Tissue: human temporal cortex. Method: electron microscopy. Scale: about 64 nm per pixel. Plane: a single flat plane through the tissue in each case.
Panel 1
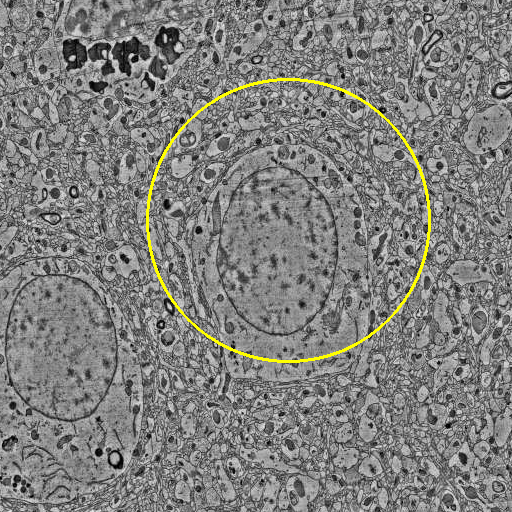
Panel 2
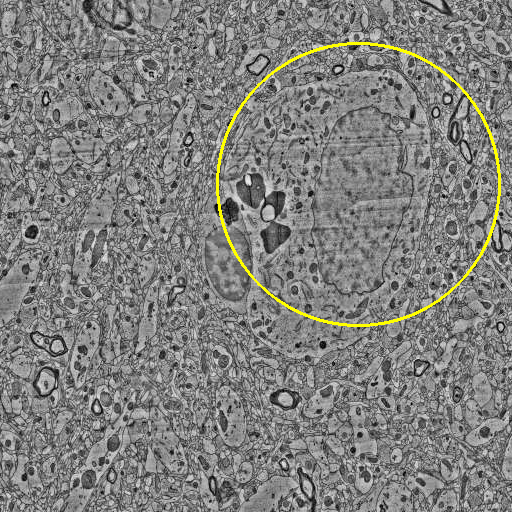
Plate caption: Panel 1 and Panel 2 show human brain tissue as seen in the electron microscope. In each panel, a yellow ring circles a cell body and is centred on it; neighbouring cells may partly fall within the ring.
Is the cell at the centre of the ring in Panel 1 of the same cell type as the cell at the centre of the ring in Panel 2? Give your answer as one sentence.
No, the two cells are of two types.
